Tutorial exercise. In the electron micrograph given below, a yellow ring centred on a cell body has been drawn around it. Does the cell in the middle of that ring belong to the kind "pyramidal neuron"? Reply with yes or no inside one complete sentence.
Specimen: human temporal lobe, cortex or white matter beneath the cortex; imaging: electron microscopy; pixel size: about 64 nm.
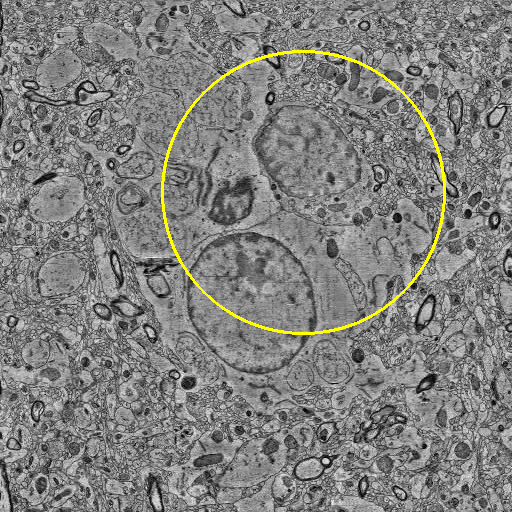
No, the cell at the centre of the ring in the picture is of a different kind.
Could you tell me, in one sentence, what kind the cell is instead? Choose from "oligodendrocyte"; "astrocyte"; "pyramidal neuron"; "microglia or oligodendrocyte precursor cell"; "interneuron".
The ring's central cell is an oligodendrocyte instead.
